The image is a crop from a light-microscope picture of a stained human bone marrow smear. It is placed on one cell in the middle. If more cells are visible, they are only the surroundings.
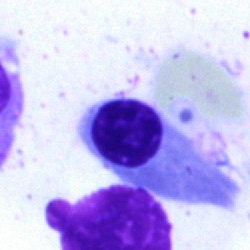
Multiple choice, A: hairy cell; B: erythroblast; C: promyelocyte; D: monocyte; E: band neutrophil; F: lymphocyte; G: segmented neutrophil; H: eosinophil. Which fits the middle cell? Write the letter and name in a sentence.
Option B gives the correct identity of the central cell, namely an erythroblast.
